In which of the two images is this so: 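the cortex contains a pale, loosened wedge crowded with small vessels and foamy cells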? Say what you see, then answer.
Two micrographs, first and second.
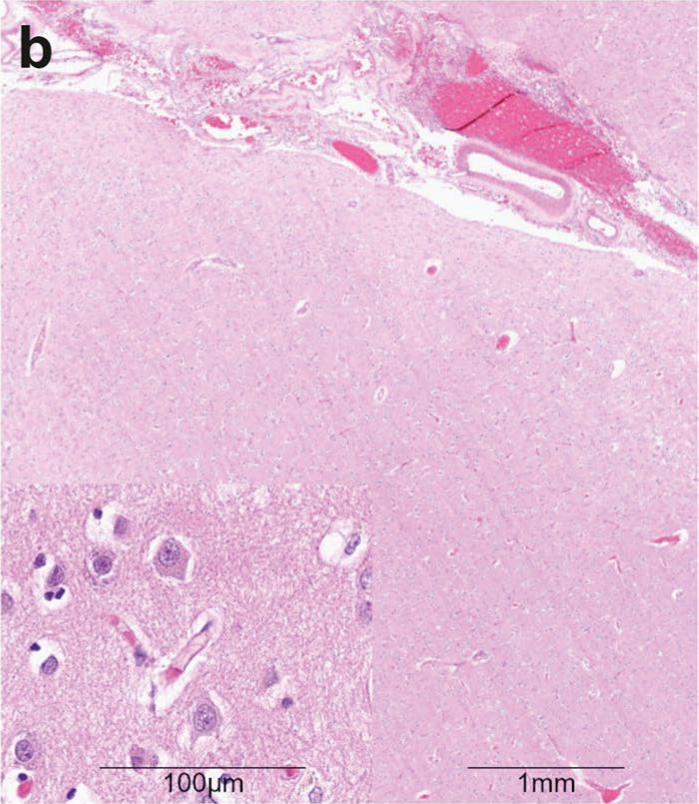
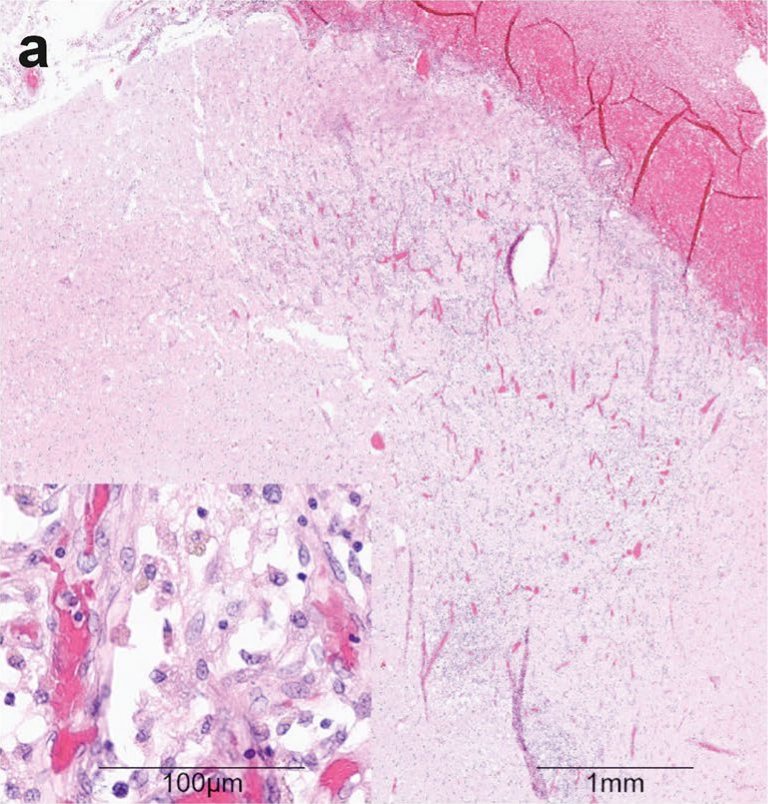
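The second image. First image: the cortex is evenly pink with scattered vessels and intact neurons in the inset. Second image: a pale, wedge-shaped zone with many small red vessels reaches from the surface into the cortex. Second image: the inset shows foamy cells and no neurons.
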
